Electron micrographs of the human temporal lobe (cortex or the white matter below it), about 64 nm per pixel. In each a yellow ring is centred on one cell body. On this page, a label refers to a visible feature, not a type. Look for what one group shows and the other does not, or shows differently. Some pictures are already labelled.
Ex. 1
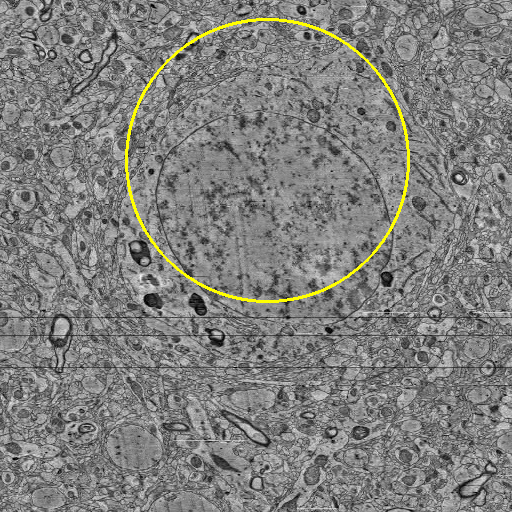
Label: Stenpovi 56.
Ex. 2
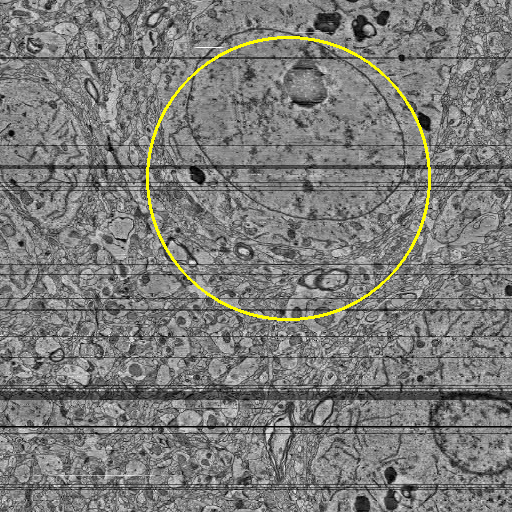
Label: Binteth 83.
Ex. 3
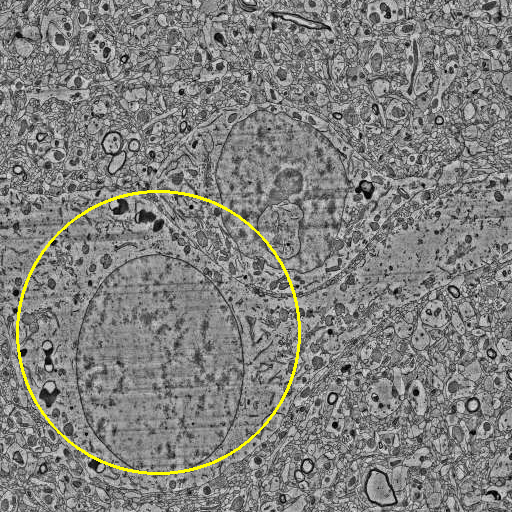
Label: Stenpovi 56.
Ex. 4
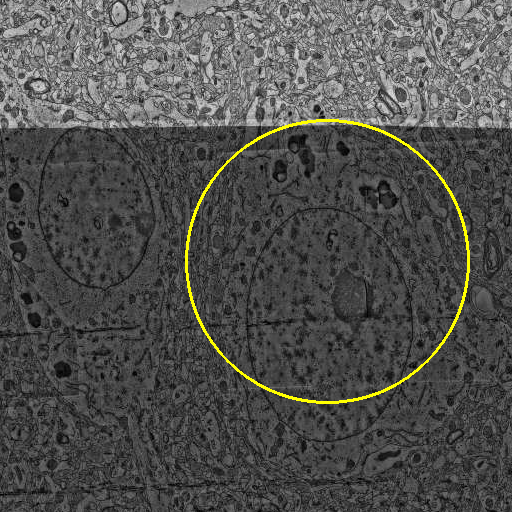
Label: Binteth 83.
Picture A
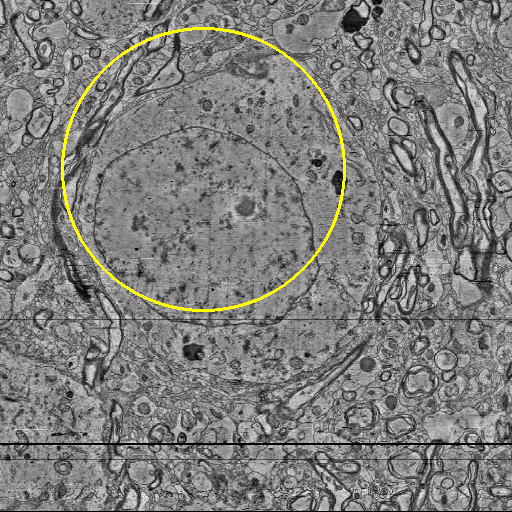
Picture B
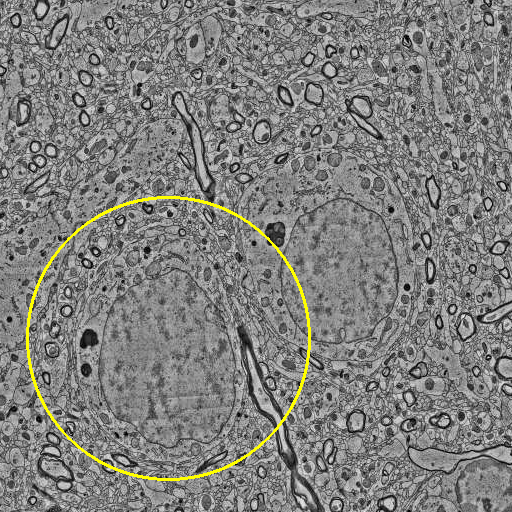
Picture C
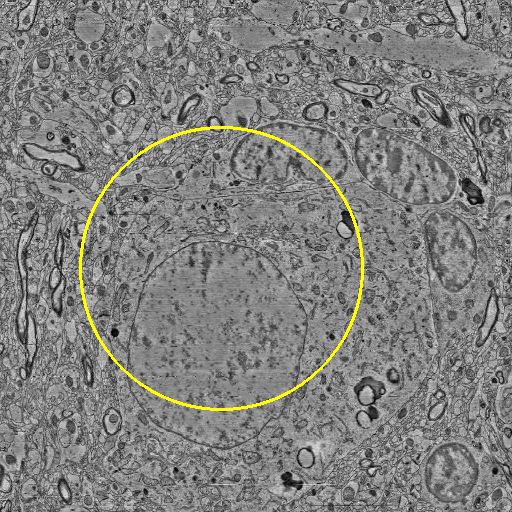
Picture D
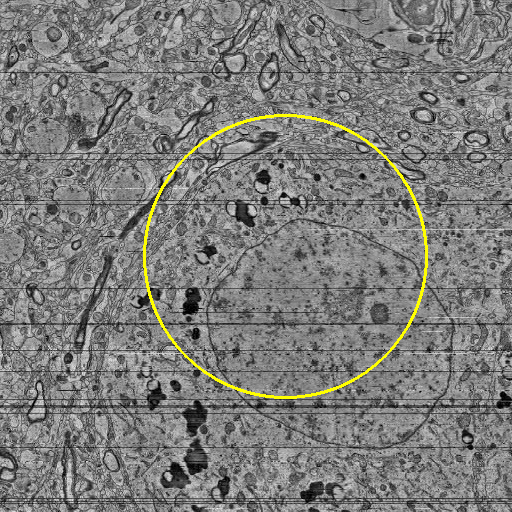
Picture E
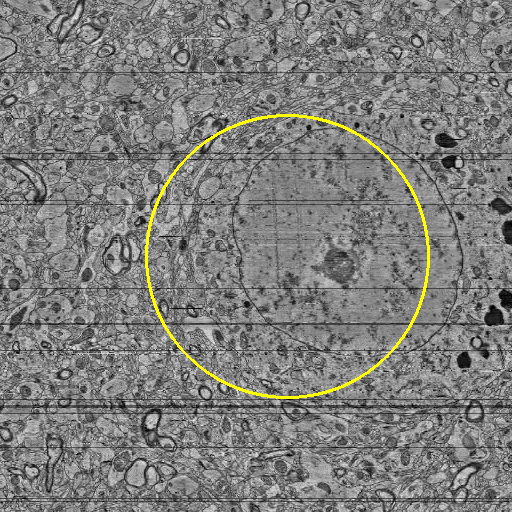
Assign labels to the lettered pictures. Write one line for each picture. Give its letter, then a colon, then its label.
A: Binteth 83.
B: Stenpovi 56.
C: Stenpovi 56.
D: Binteth 83.
E: Binteth 83.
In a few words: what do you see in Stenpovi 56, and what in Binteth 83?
In Stenpovi 56: no nucleolus seen. In Binteth 83: nucleolus seen.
